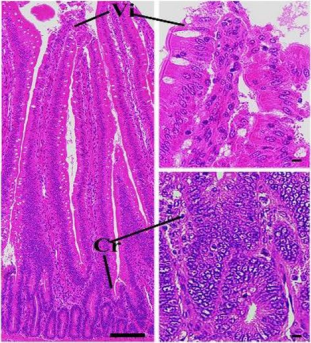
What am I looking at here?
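The enlarged view of the villus edge shows an irregular, frayed outline with the outer epithelial cells loosely arranged rather than forming a neat continuous row. Pale vacuole-like spaces lie among the cells at the villus surface. At the base the crypts are densely packed glandular structures with dark nuclei.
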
